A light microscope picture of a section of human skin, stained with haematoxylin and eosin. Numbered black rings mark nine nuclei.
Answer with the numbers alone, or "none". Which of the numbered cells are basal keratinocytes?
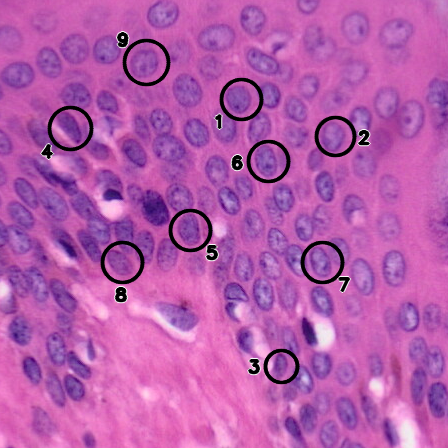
3, 4, 5, 8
